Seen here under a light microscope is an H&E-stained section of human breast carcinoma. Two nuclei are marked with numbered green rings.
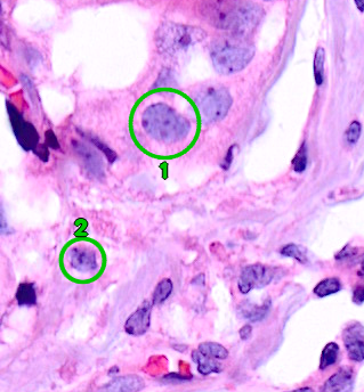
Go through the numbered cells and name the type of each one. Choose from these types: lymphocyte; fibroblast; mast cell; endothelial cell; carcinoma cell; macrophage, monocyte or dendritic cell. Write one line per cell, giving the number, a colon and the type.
1: carcinoma cell
2: macrophage, monocyte or dendritic cell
